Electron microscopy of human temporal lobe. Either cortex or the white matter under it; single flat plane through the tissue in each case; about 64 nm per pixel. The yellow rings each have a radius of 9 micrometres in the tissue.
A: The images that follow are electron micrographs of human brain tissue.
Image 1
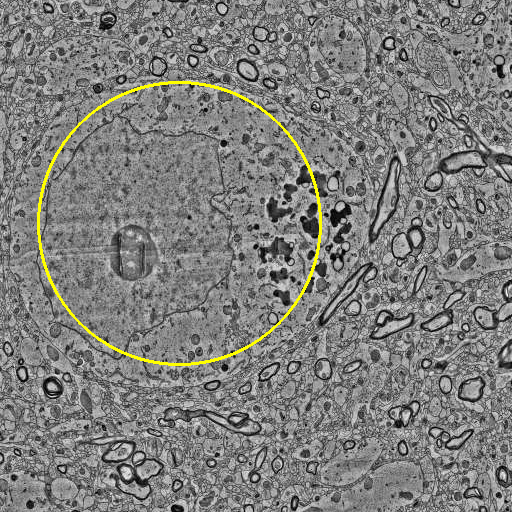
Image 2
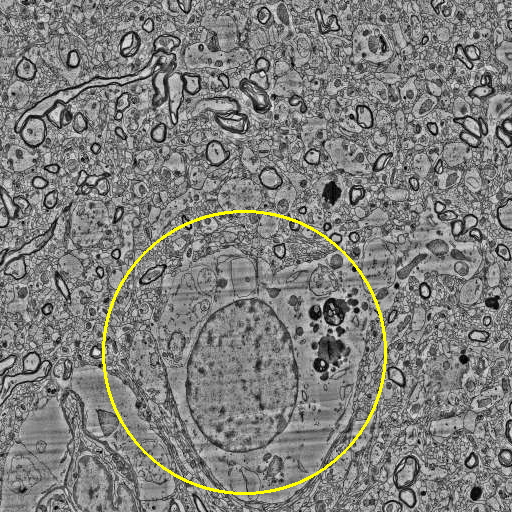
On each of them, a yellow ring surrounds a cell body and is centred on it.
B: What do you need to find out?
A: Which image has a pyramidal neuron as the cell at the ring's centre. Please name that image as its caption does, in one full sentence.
Image 1 is the one whose ring has the sought cell at its centre.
